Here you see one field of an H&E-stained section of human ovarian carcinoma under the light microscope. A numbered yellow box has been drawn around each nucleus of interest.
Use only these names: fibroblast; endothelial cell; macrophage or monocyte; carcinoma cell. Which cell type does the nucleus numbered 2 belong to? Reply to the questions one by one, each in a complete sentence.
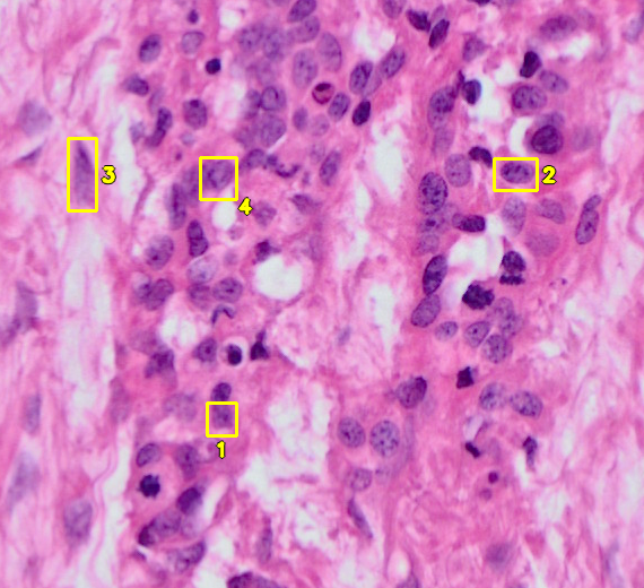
Nucleus 2 in this section belongs to a macrophage or monocyte.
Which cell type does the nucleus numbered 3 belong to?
To a fibroblast belongs the nucleus marked 3.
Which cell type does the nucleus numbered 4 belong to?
The cell indicated with the number 4 is classed as a carcinoma cell.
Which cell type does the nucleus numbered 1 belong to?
It is as a macrophage or monocyte that the cell numbered 1 is identified.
